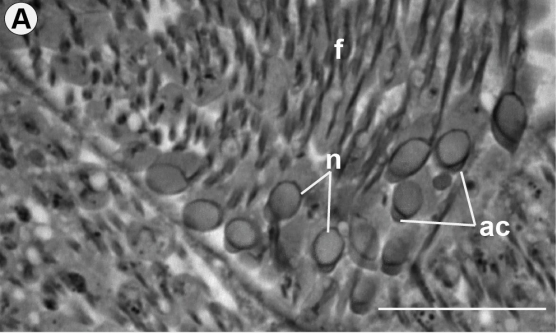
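Here a cyst of developing spermatids is seen in a stained section, the cells packed closely together. On one end of several nuclei sits a small cap-like structure, the acrosome taking its place over the nucleus.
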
